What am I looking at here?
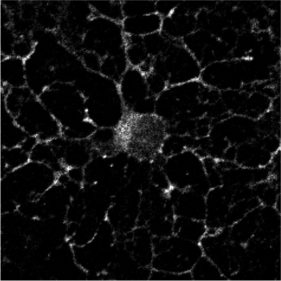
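A single rounded cell body lies near the middle of the field, with a fairly even, slightly granular glow. From it many thin processes run outward in all directions. They branch again and again, and the fine branches join one another, so that the whole field is covered by a lace-like net of closed loops of varied size. Small brighter beads and knots lie along the branches and at their junctions. The spaces between the branches are dark and empty.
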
